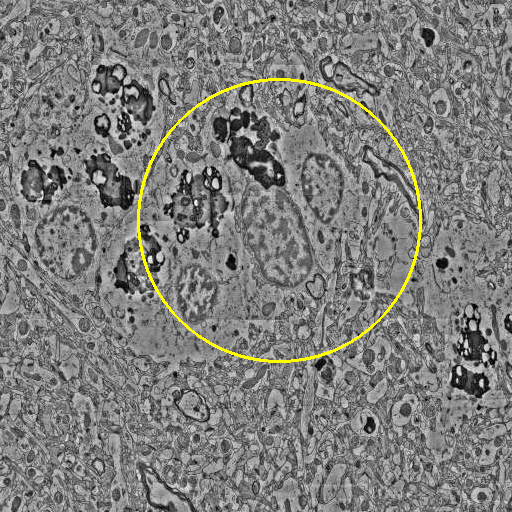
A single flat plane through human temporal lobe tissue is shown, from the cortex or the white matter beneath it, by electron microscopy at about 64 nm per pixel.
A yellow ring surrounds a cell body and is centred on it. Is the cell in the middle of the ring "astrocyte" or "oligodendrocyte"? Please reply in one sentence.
The ring is centred on an oligodendrocyte.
